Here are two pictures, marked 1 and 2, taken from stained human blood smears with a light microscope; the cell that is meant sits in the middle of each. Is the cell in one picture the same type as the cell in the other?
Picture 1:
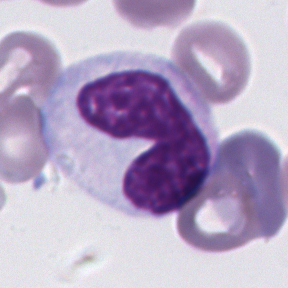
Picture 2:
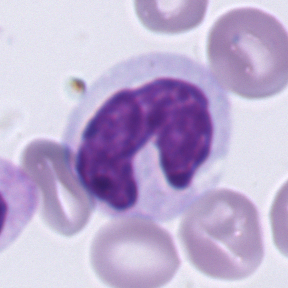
yes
